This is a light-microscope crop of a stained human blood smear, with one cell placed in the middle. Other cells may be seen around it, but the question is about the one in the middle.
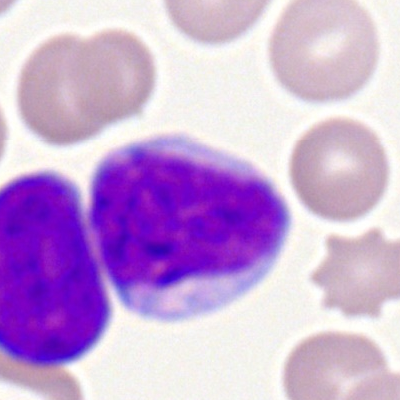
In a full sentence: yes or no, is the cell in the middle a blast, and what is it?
Yes, the cell at the centre of this crop is identified as a blast.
